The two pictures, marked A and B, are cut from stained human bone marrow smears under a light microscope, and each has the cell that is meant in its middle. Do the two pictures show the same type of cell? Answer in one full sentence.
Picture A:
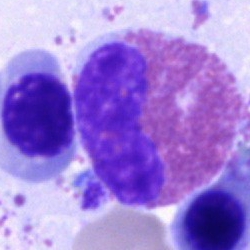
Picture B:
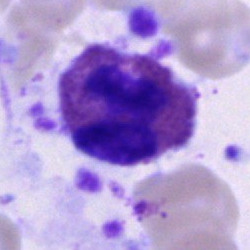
Yes, the two pictures both show eosinophils.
